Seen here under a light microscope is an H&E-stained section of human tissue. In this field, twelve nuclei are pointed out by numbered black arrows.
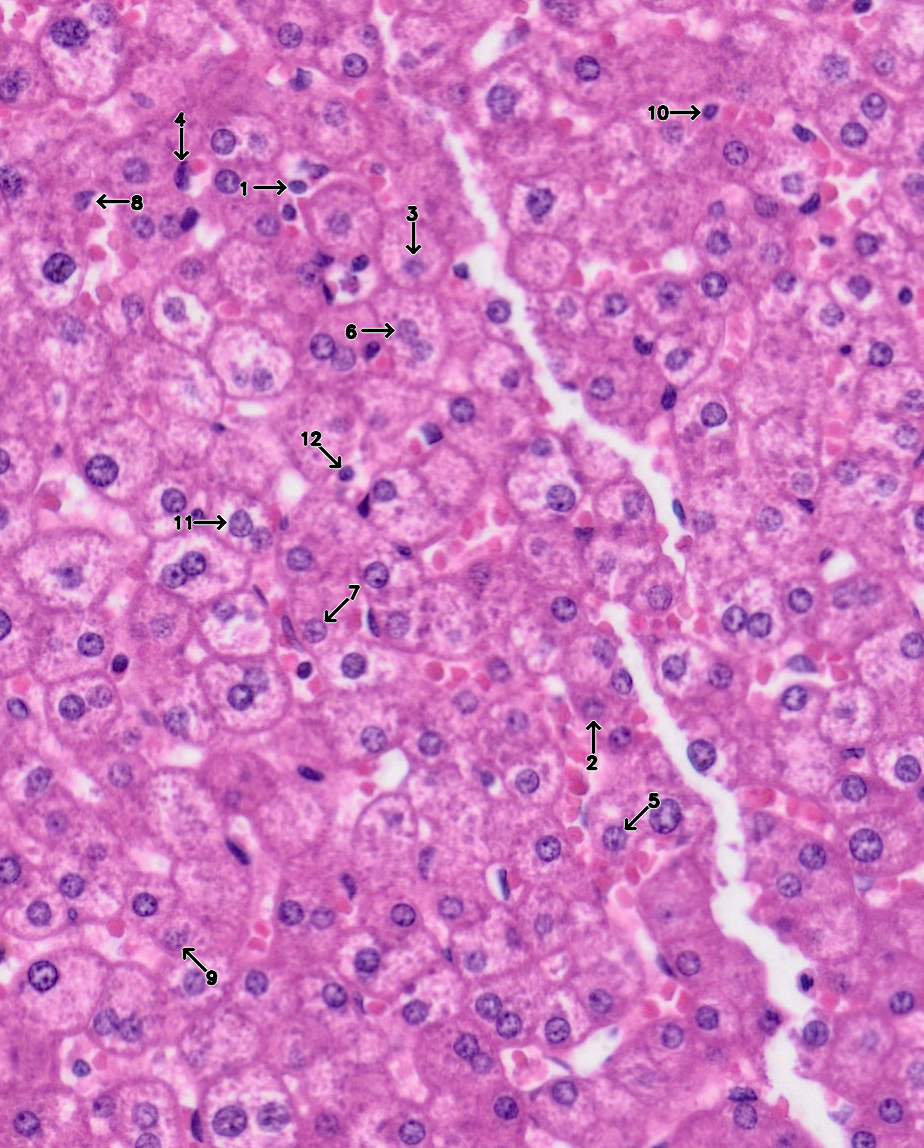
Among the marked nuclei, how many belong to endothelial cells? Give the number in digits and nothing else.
2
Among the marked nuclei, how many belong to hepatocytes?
7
